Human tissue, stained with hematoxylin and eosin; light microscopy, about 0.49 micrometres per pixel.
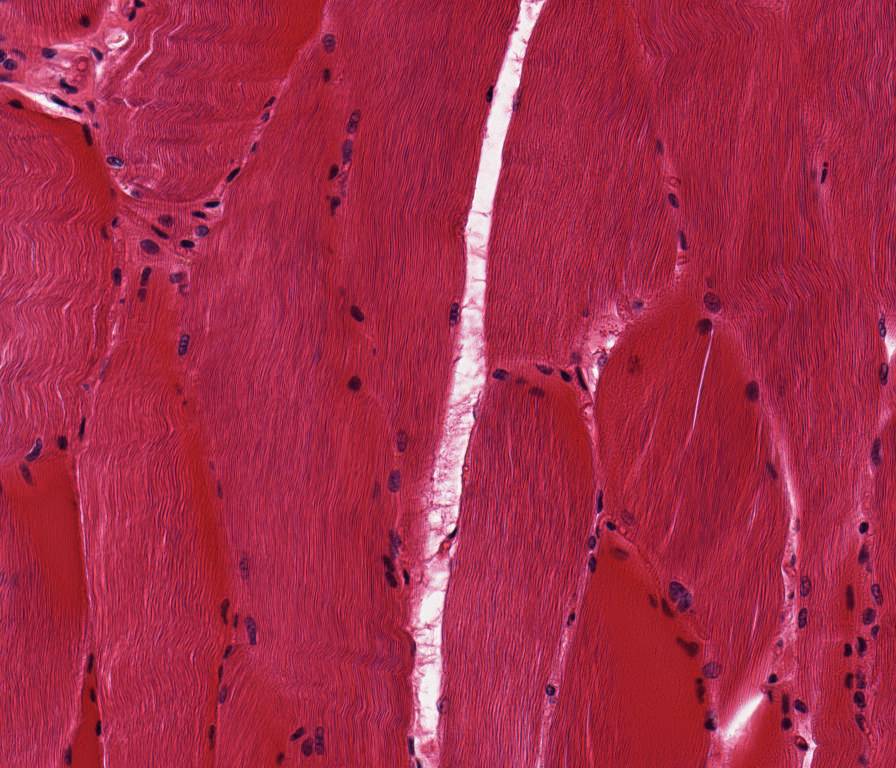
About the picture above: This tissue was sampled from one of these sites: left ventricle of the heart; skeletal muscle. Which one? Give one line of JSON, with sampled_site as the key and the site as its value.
{"sampled_site": "skeletal muscle"}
